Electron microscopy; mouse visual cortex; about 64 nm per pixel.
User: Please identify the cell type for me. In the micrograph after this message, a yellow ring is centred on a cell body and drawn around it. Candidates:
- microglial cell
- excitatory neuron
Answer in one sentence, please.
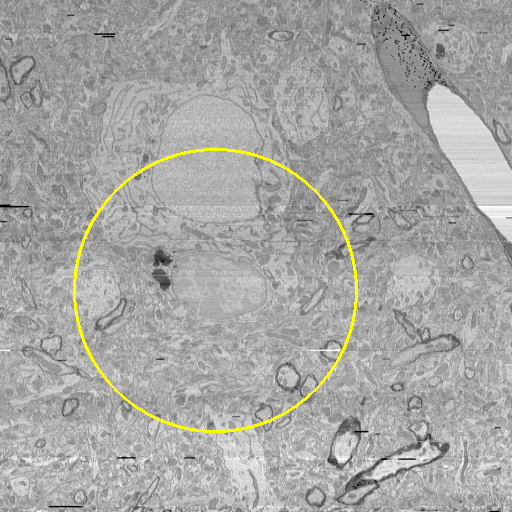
The ring is drawn around the cell body of a microglial cell.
